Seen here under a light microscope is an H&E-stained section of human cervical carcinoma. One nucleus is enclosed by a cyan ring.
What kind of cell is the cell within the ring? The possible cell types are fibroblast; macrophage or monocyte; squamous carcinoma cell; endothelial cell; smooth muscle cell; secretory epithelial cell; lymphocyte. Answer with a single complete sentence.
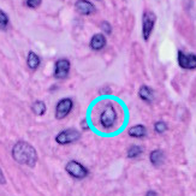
Students should answer that the cell within the ring is a smooth muscle cell.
